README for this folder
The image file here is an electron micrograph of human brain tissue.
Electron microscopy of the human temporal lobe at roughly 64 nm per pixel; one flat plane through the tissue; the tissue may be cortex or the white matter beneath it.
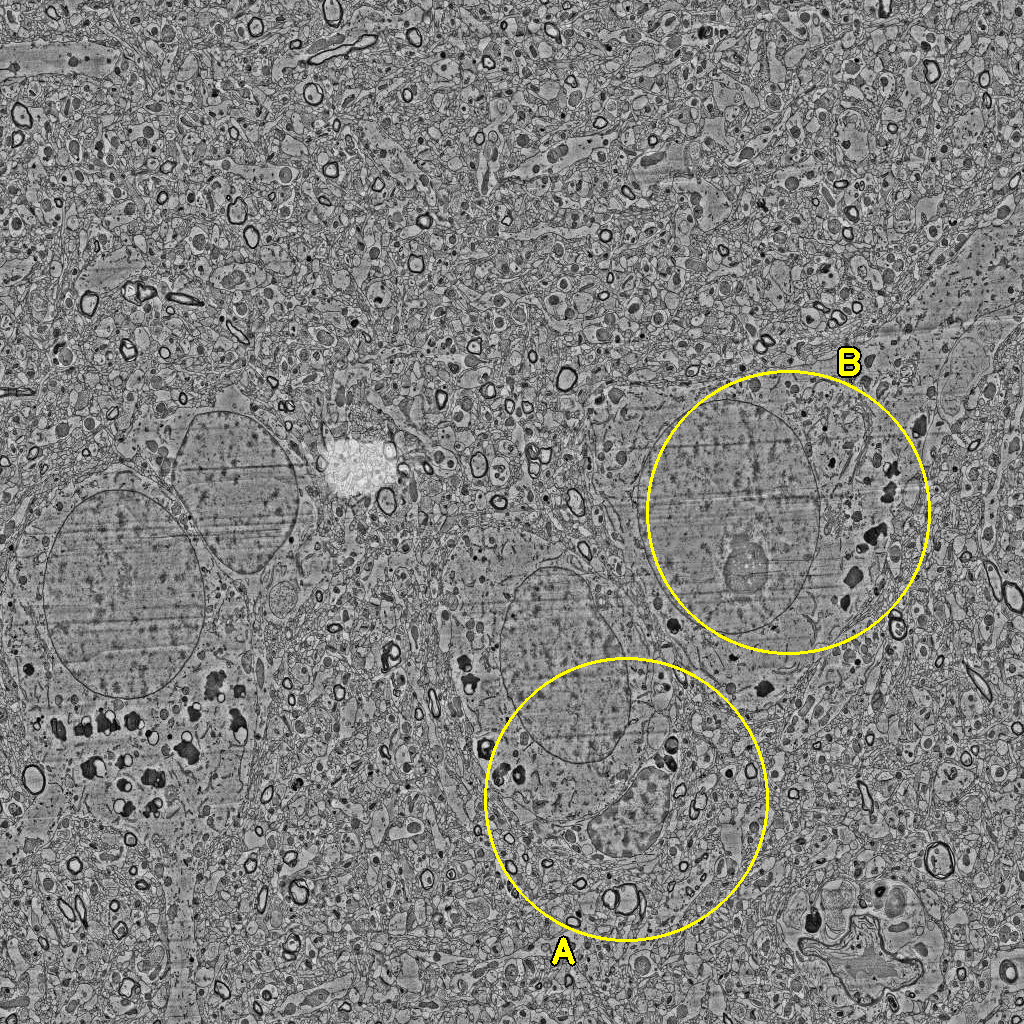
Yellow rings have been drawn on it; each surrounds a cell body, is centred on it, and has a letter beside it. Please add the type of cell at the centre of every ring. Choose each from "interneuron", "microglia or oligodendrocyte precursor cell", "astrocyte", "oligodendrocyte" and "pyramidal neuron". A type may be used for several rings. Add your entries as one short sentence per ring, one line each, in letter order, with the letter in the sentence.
Ring A marks the cell body of a microglial cell or oligodendrocyte precursor cell.
Ring B marks the cell body of a pyramidal neuron.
